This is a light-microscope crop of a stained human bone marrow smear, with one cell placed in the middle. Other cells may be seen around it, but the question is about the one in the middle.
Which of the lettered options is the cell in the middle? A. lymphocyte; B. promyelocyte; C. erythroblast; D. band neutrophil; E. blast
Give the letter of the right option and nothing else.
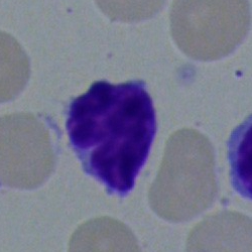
A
